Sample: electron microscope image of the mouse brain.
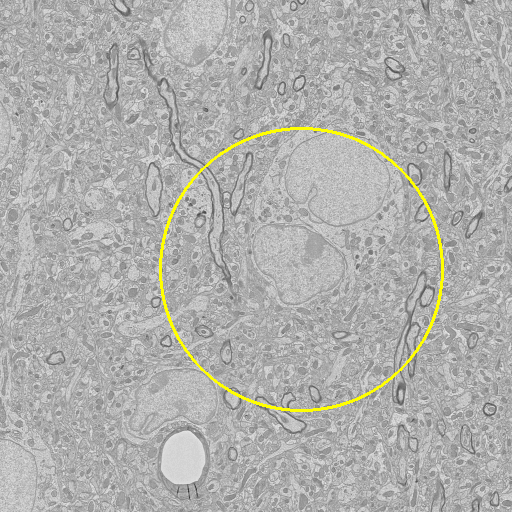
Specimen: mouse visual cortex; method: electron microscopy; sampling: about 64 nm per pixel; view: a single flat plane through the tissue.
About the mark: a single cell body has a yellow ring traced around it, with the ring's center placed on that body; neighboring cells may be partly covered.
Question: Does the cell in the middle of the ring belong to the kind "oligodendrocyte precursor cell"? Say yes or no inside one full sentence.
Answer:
Yes, the cell at the ring's center in this image belongs to that kind.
